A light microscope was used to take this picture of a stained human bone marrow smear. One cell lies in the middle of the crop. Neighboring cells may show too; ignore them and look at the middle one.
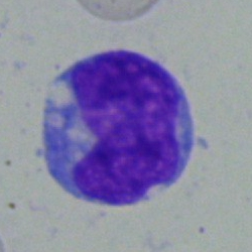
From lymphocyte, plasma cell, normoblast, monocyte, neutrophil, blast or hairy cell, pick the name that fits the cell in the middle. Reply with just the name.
blast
